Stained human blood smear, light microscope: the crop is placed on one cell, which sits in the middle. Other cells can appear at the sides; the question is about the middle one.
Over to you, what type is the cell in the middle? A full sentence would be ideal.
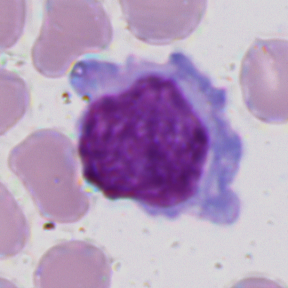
The middle cell in this particular crop is a plasma cell.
